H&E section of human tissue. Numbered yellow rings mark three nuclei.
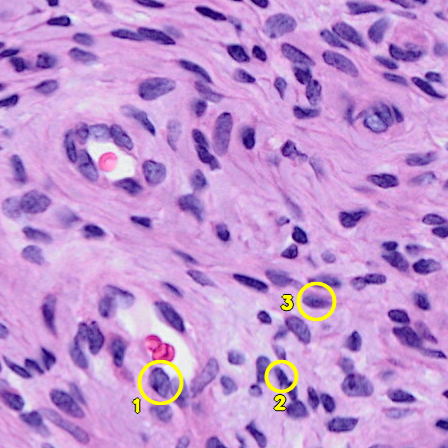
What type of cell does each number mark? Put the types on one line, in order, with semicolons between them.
endothelial cell; fibroblast; fibroblast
